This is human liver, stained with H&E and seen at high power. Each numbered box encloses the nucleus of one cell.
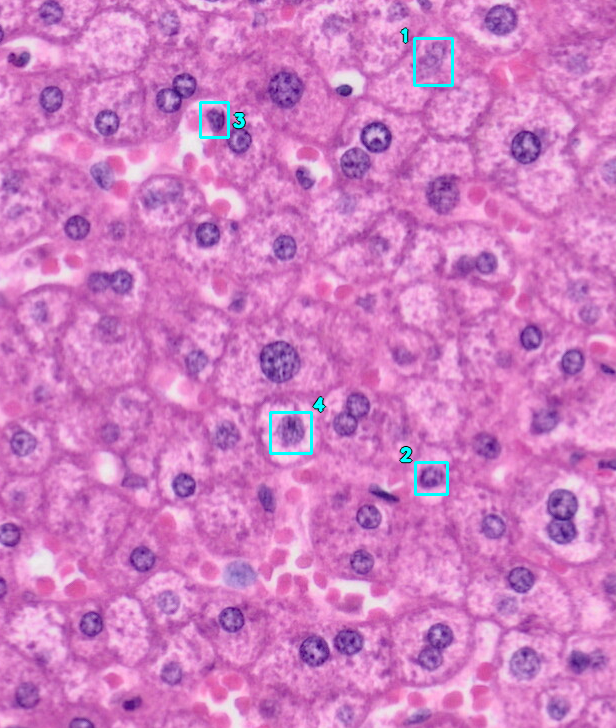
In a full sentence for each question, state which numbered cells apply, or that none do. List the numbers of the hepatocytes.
When it comes to cells 1, 2 and 4, they are hepatocytes.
